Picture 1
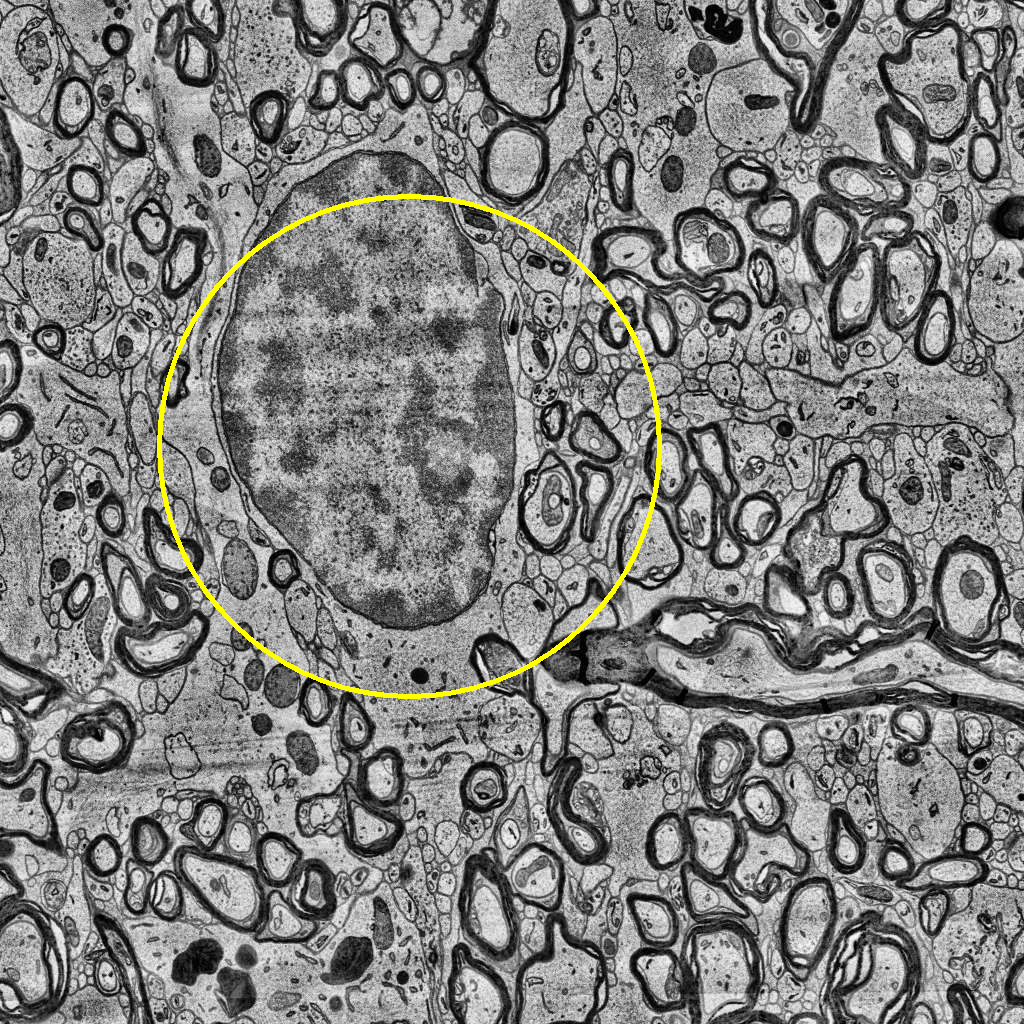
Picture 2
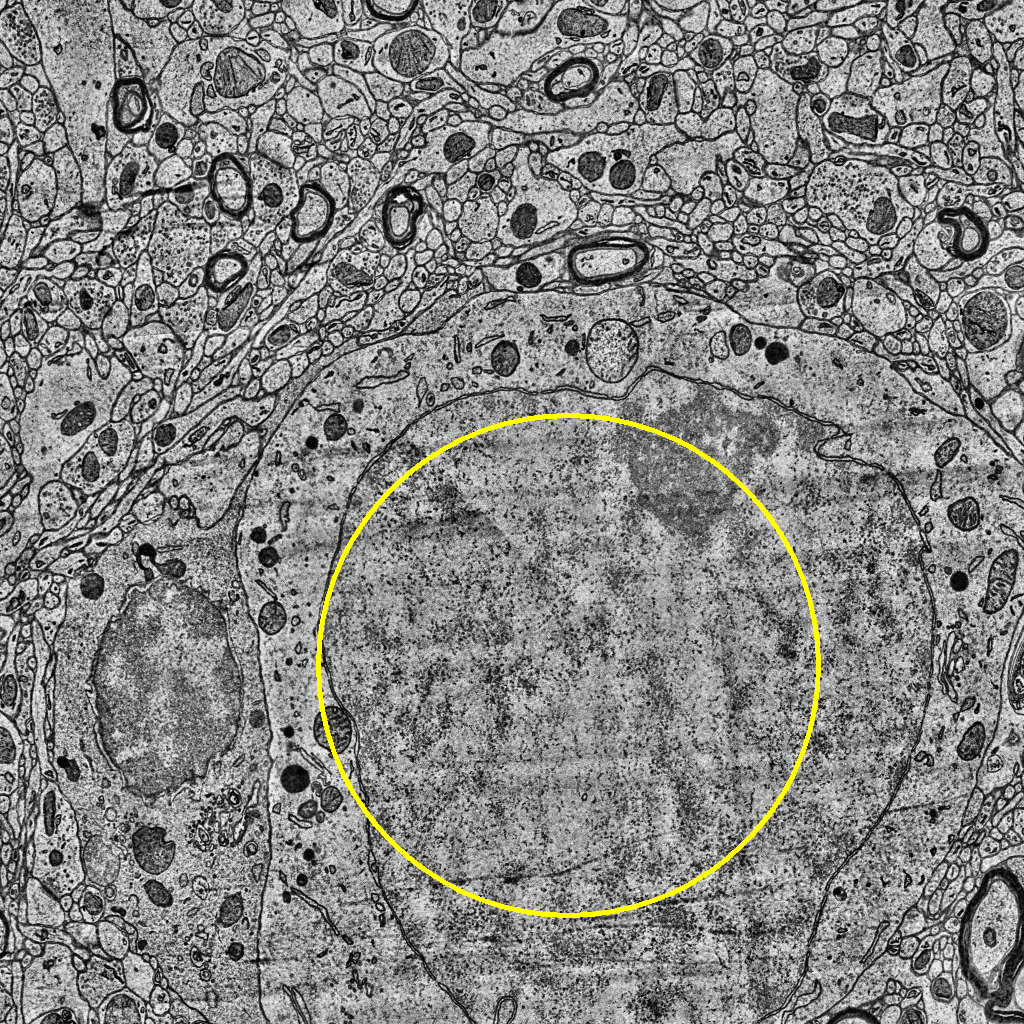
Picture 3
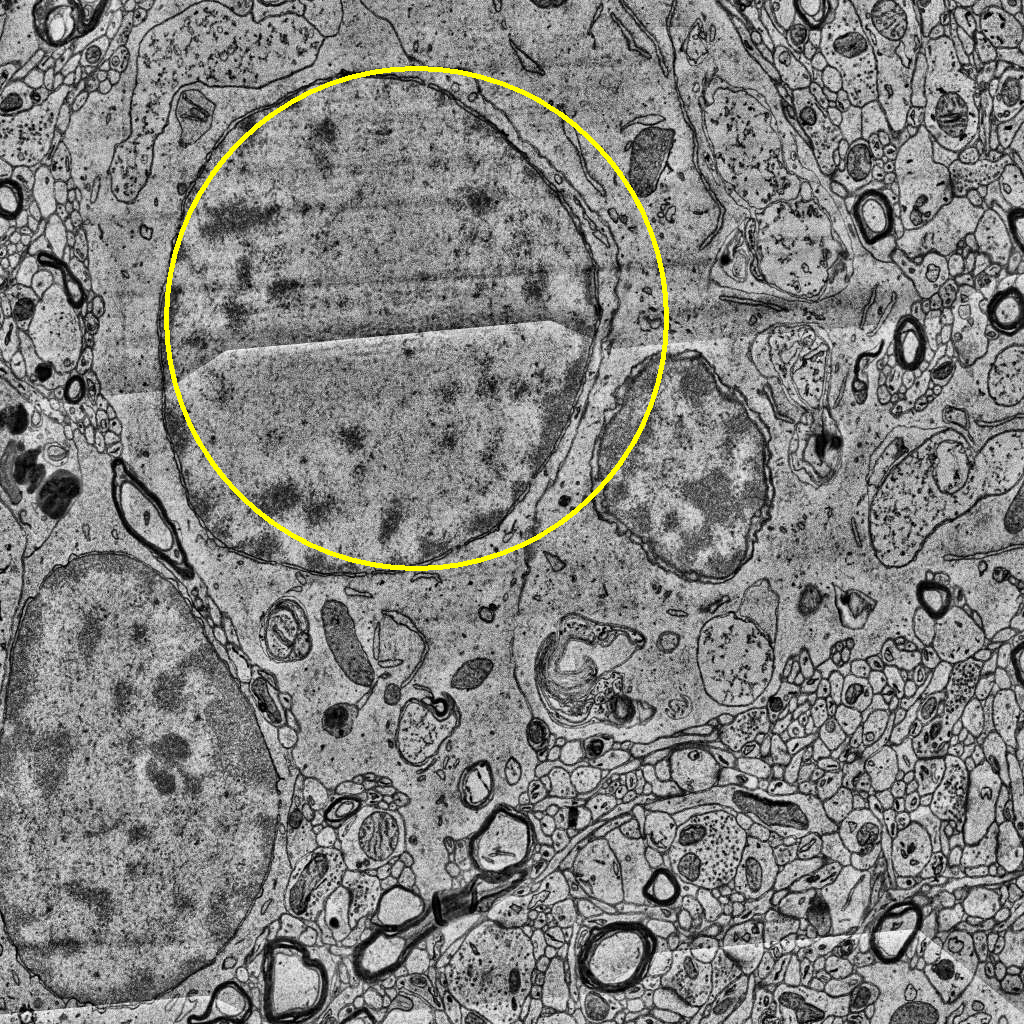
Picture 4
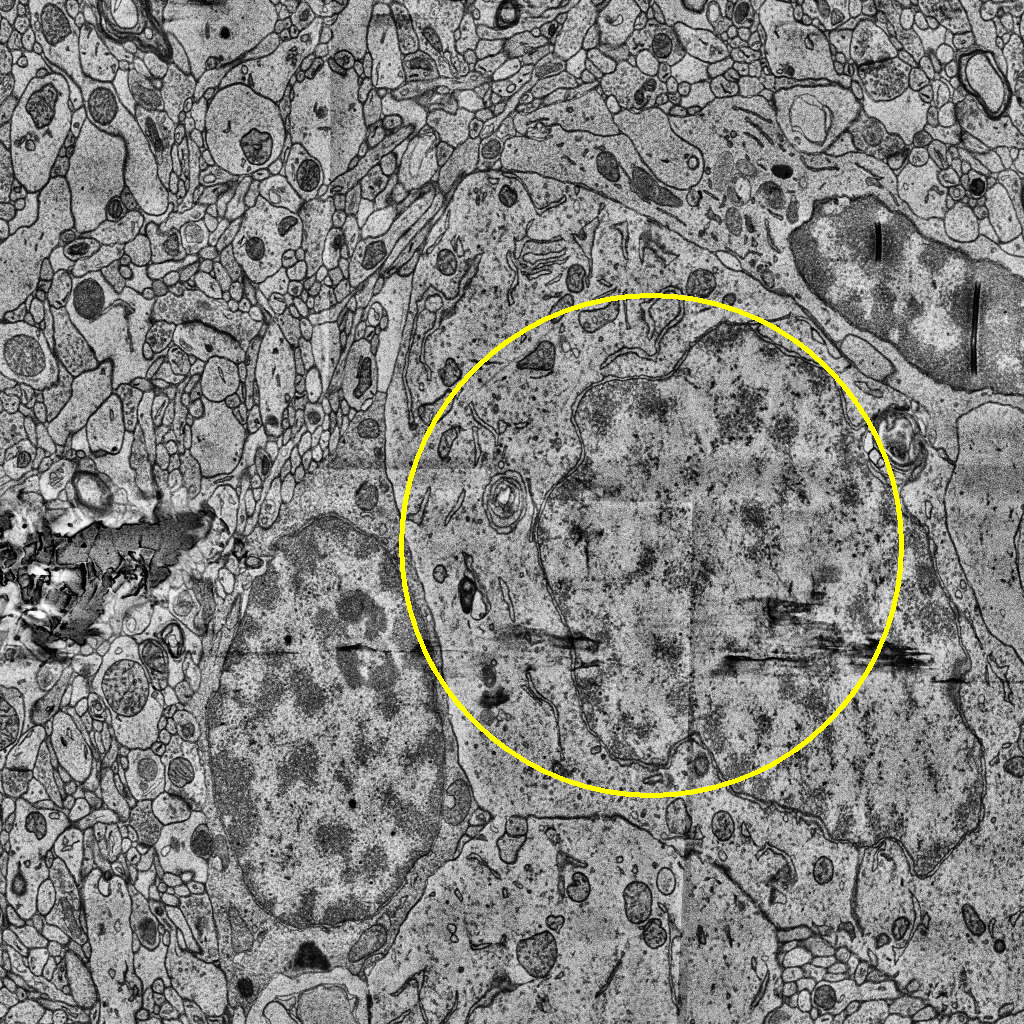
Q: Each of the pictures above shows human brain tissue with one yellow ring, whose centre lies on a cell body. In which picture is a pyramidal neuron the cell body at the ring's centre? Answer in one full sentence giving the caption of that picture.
Picture 2 is the one whose ring's centre lies on the cell in question.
